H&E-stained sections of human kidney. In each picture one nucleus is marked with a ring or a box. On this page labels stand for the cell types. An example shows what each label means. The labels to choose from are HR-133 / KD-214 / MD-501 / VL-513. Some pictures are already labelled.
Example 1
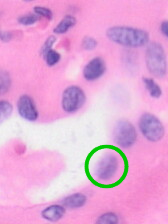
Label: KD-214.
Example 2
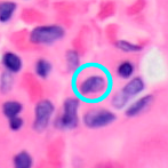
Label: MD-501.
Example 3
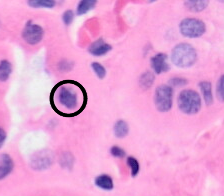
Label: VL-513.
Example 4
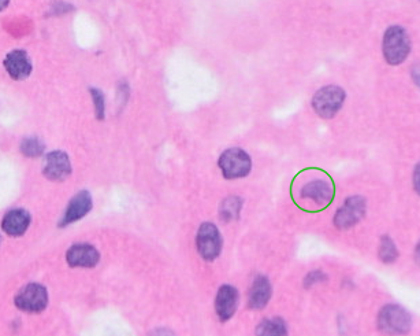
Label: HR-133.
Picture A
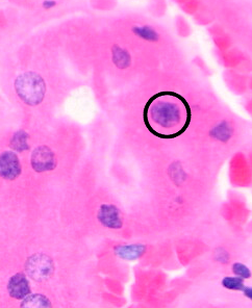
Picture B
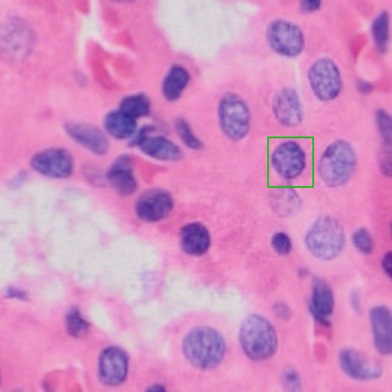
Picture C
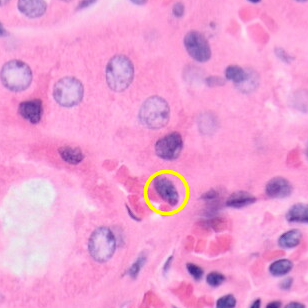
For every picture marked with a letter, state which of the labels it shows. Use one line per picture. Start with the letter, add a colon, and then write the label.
A: HR-133.
B: VL-513.
C: MD-501.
